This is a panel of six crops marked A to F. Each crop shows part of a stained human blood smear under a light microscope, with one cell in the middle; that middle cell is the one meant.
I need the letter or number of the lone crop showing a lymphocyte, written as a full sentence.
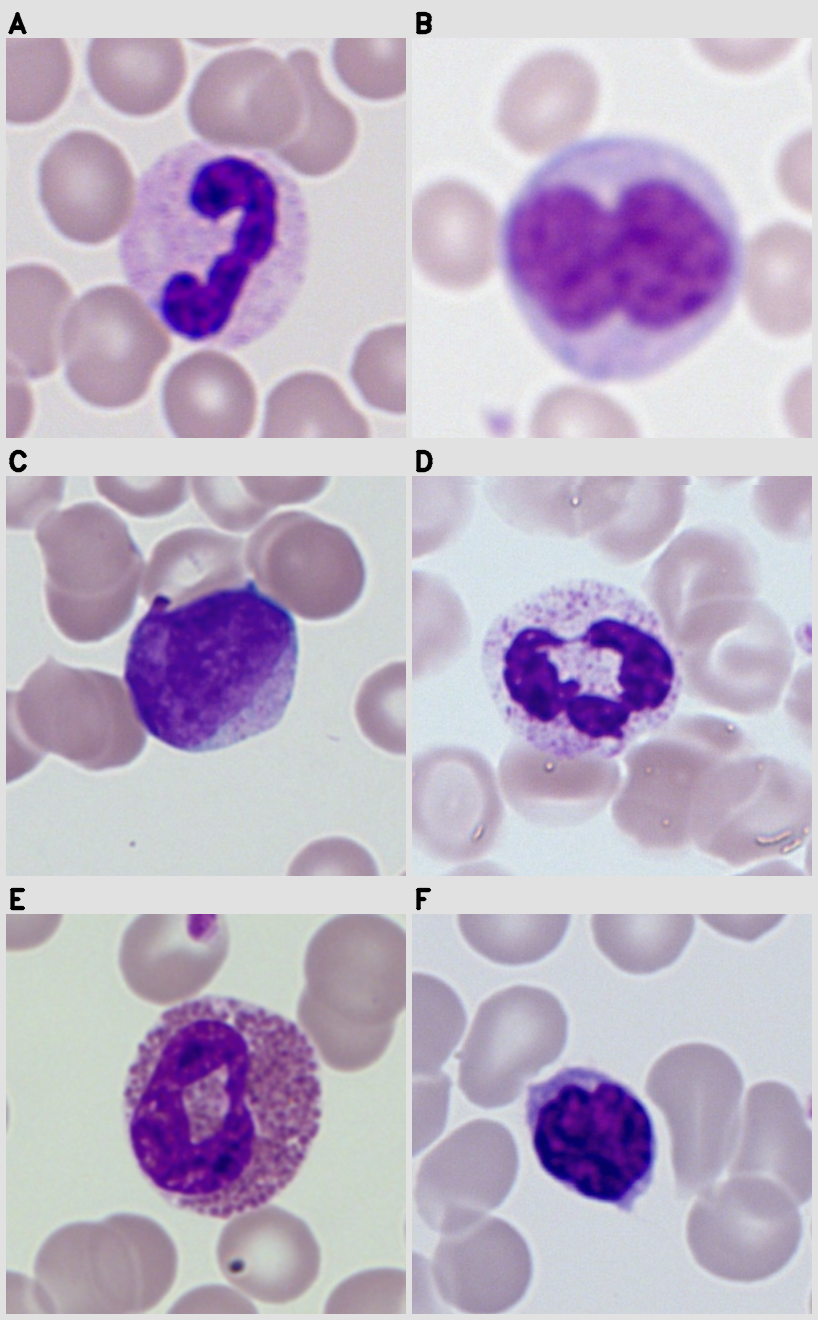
The crop that shows a lymphocyte is crop F.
